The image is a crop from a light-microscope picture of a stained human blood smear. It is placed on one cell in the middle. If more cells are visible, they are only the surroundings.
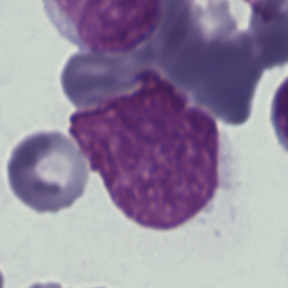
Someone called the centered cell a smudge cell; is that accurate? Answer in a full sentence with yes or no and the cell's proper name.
Yes, the cell positioned in the middle is a smudge cell.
